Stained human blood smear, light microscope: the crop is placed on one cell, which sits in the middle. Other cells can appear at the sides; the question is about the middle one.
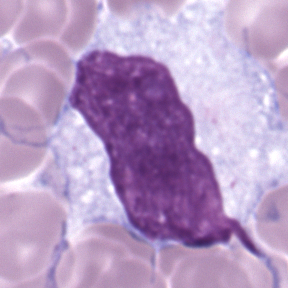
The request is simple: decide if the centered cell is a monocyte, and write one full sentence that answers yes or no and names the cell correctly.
Yes, in the centre of this field sits a monocyte.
